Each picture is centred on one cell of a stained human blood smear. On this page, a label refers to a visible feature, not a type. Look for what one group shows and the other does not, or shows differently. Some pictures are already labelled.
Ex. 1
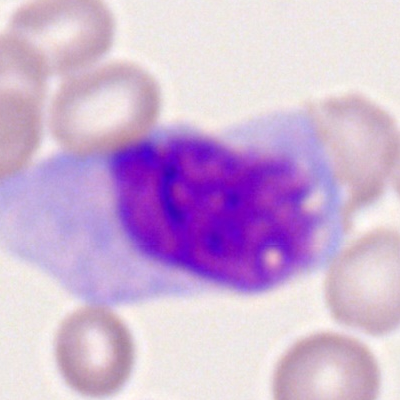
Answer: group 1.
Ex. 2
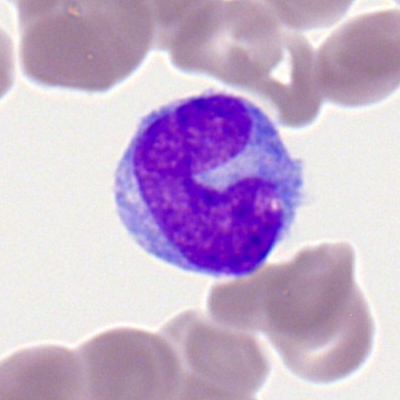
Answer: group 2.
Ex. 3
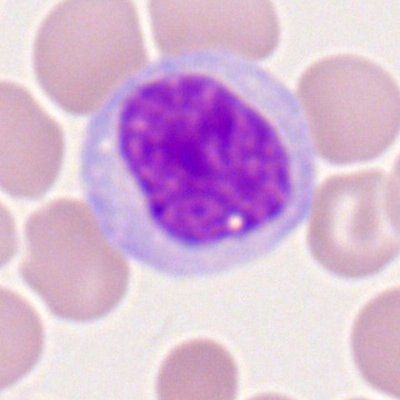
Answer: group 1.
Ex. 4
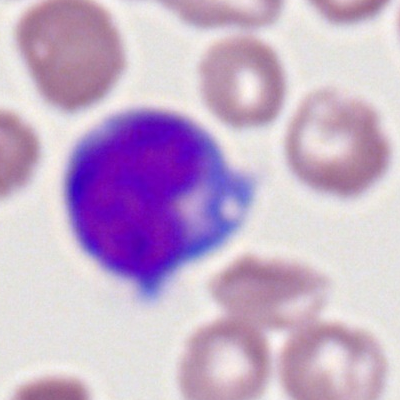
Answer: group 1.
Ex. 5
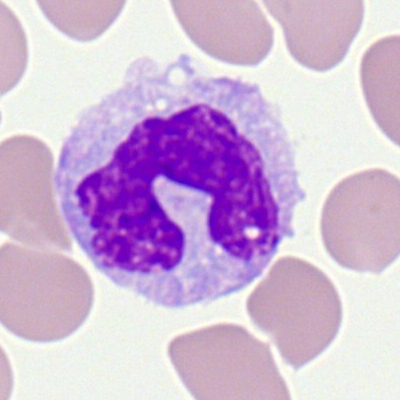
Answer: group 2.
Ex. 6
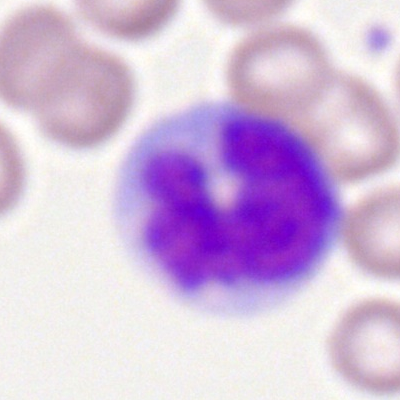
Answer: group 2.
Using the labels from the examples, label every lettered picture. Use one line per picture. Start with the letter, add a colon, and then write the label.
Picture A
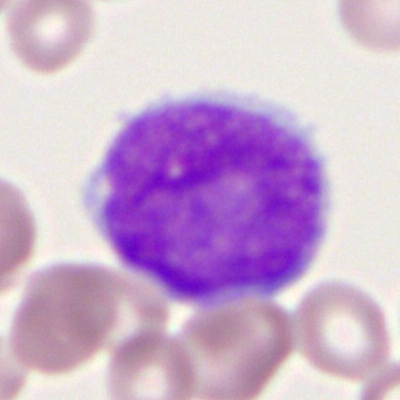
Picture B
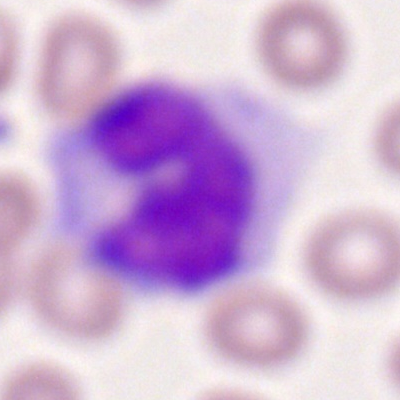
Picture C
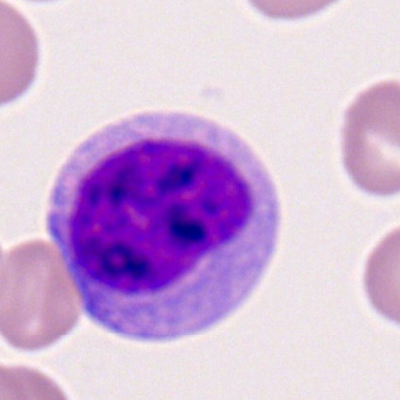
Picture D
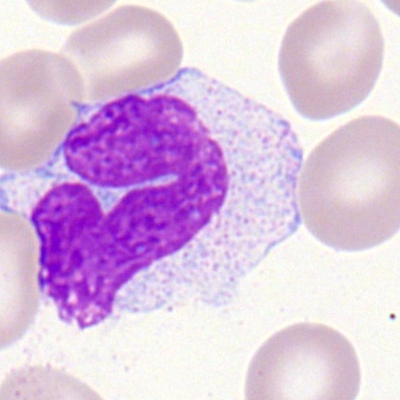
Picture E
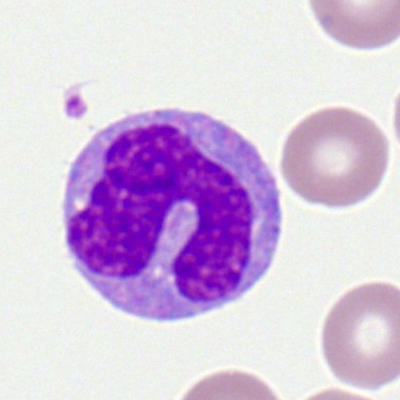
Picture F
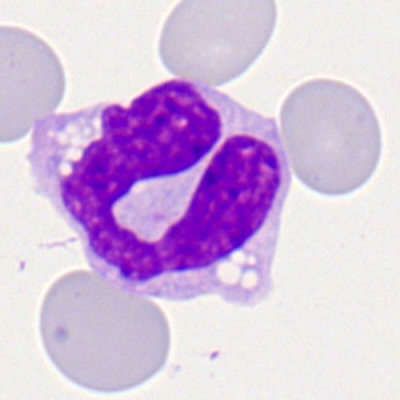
A: group 1.
B: group 2.
C: group 1.
D: group 2.
E: group 2.
F: group 2.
